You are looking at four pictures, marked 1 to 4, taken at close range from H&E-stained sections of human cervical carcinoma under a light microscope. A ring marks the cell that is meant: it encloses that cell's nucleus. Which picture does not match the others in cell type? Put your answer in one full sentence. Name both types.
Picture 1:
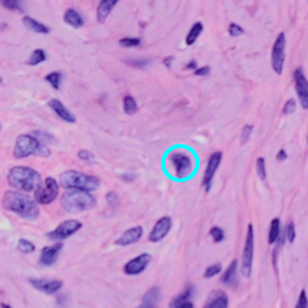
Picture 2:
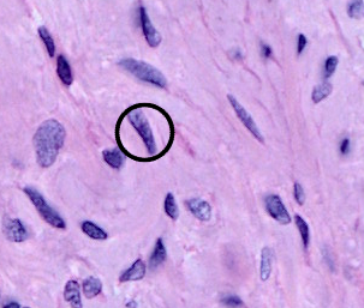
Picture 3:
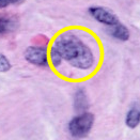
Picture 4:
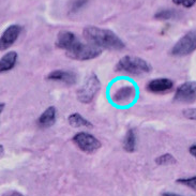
All pictures except 3 show fibroblasts; picture 3 shows an endothelial cell.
